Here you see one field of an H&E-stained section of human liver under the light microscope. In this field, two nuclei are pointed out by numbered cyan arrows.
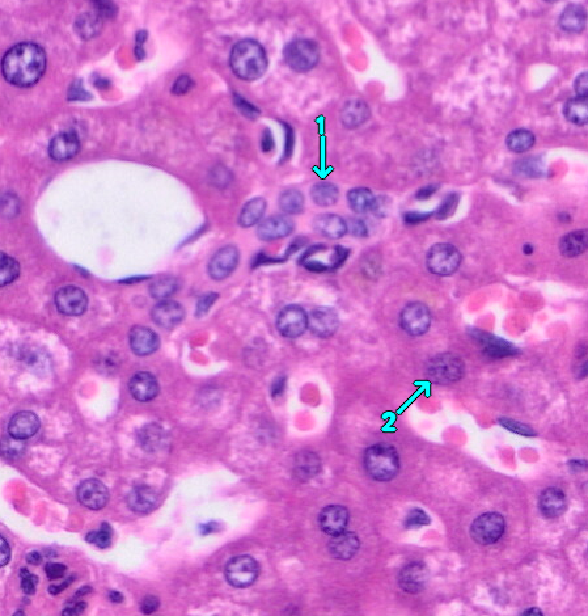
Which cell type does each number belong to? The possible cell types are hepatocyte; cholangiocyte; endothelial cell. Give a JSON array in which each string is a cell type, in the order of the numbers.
["cholangiocyte", "hepatocyte"]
